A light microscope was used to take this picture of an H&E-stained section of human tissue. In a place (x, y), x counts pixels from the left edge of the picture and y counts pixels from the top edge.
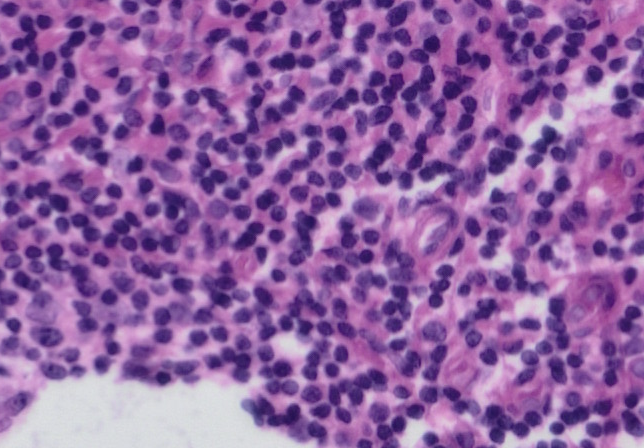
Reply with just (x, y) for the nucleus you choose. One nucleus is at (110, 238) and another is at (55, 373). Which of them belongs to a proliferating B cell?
(55, 373)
